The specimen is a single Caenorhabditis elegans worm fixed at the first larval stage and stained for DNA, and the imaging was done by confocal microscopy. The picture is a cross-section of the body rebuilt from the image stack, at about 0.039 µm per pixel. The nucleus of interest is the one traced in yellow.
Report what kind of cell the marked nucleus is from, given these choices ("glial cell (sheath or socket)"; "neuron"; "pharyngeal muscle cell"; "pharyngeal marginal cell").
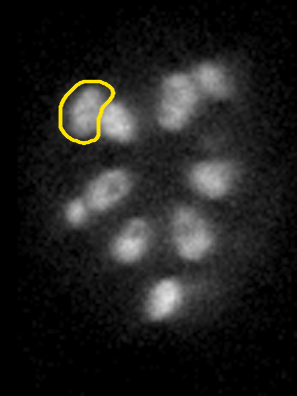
glial cell (sheath or socket)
